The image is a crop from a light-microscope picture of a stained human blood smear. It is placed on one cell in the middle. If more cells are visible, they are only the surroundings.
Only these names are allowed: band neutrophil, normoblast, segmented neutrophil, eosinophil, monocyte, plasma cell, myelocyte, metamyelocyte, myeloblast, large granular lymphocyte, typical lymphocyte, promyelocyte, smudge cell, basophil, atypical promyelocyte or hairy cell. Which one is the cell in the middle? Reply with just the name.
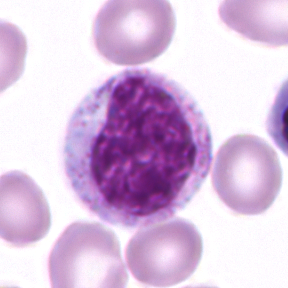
metamyelocyte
